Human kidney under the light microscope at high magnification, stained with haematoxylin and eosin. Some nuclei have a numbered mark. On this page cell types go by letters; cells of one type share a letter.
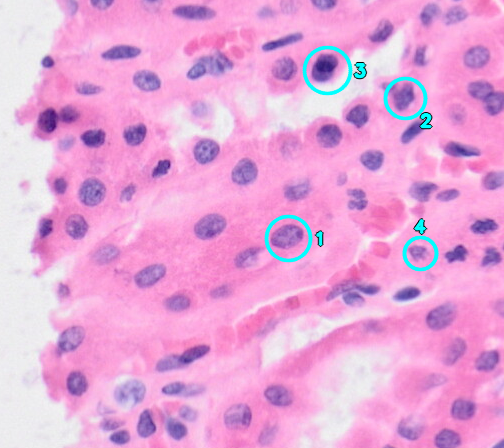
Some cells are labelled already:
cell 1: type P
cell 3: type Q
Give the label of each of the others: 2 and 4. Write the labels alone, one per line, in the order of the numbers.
type Q
type Q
